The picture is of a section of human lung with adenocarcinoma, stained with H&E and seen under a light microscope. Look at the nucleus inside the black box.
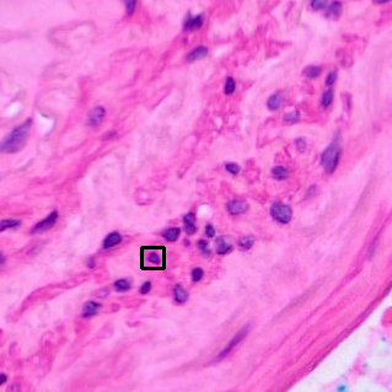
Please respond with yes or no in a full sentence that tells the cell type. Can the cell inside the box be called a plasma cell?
No, instead of a plasma cell, the cell inside the box is a smooth muscle cell or pericyte.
